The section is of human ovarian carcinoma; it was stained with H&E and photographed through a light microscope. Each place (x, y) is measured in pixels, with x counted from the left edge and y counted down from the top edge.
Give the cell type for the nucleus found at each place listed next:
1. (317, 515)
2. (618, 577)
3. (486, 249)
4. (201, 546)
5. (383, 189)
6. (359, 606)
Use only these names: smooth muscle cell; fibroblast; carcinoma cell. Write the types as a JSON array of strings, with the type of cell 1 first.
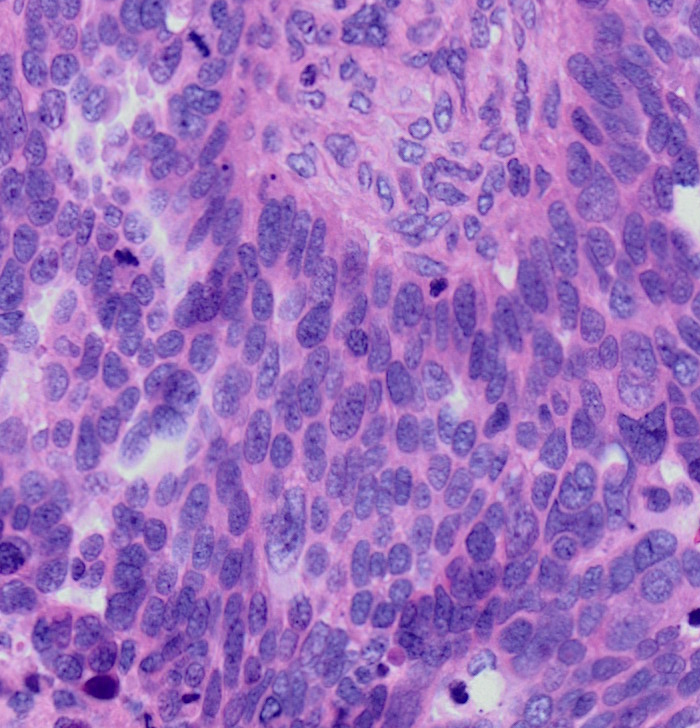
["carcinoma cell", "carcinoma cell", "fibroblast", "carcinoma cell", "fibroblast", "carcinoma cell"]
